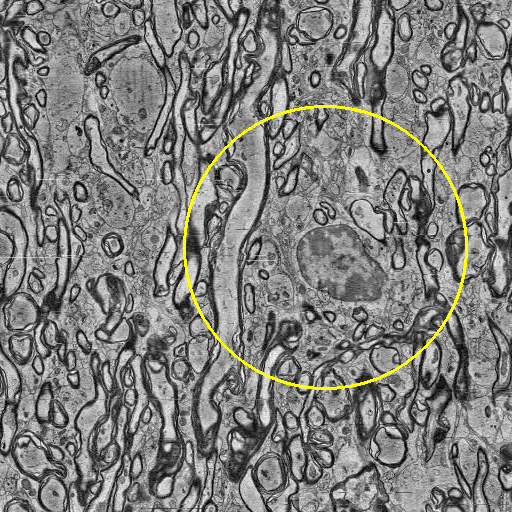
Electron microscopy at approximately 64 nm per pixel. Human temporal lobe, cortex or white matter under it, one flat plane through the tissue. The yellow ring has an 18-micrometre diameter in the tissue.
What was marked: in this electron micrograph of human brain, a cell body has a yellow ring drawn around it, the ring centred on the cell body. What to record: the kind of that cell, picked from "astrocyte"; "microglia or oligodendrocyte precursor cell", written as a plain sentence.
The centred cell is a microglial cell or oligodendrocyte precursor cell.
